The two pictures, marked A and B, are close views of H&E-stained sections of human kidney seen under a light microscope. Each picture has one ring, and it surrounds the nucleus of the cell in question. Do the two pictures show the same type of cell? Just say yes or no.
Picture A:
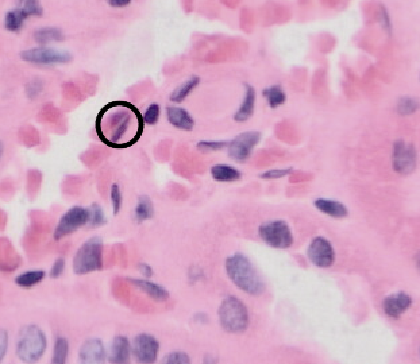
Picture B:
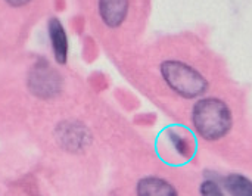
yes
